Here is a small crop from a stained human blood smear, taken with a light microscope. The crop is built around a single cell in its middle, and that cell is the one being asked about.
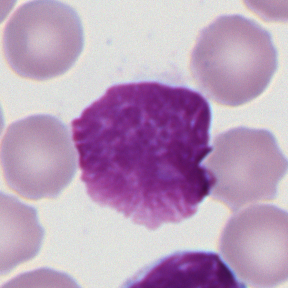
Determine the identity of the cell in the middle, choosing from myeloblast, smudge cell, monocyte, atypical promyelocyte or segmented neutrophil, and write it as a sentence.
In the centre of this crop there is a smudge cell.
